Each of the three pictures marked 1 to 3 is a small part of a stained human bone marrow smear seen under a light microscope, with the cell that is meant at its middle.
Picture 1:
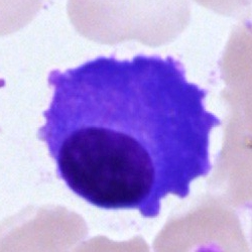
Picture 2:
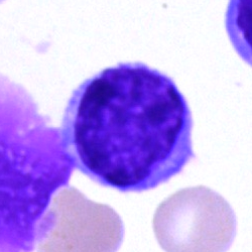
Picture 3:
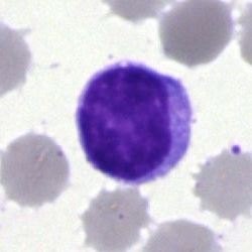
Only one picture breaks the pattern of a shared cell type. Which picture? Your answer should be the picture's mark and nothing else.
1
